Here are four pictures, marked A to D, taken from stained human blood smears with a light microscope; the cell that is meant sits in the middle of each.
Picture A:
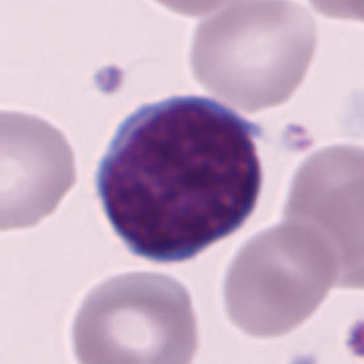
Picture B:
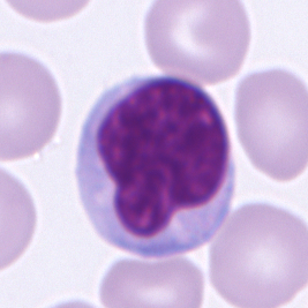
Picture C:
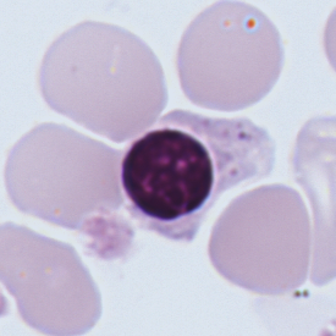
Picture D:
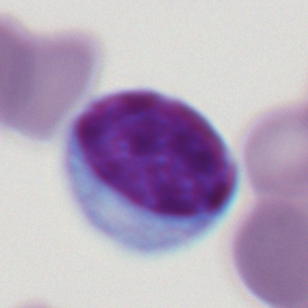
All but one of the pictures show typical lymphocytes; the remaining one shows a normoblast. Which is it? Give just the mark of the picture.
C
